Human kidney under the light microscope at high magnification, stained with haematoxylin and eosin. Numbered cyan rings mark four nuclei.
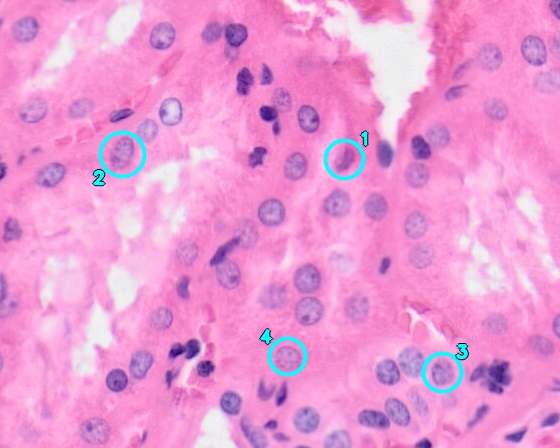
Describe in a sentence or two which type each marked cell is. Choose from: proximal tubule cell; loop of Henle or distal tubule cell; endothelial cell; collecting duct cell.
Cell 1 is a proximal tubule cell, cell 2 is a proximal tubule cell, cell 3 is a collecting duct cell and cell 4 is a proximal tubule cell.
